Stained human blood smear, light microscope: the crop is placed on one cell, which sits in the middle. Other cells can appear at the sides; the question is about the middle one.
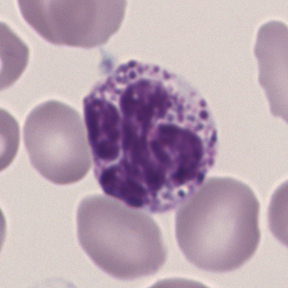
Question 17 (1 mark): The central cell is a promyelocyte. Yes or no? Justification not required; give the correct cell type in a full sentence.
No, the central cell is counted as a basophil instead of a promyelocyte.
